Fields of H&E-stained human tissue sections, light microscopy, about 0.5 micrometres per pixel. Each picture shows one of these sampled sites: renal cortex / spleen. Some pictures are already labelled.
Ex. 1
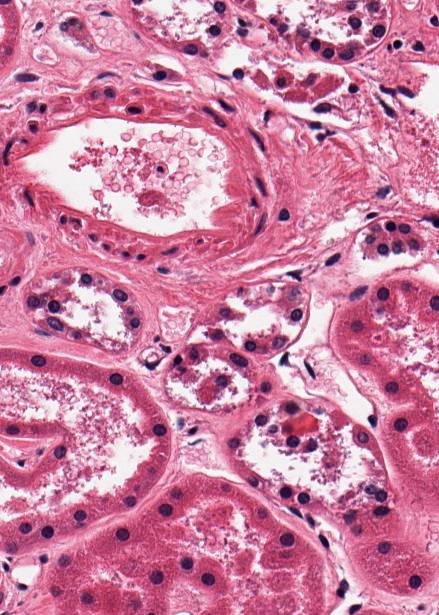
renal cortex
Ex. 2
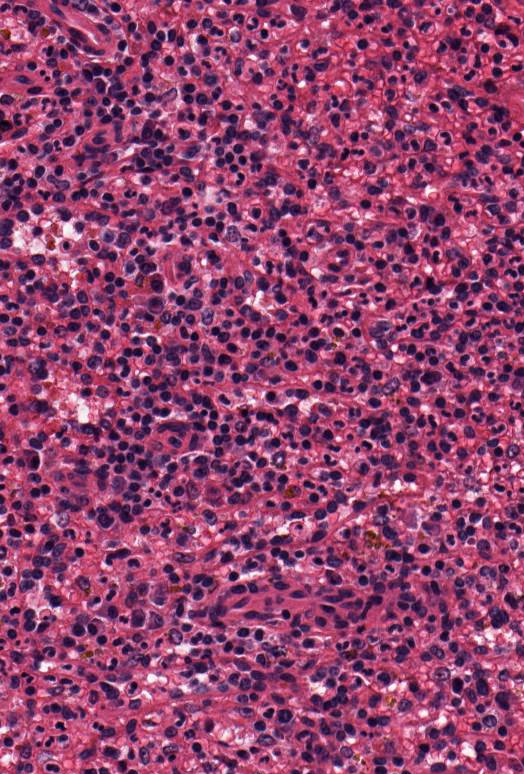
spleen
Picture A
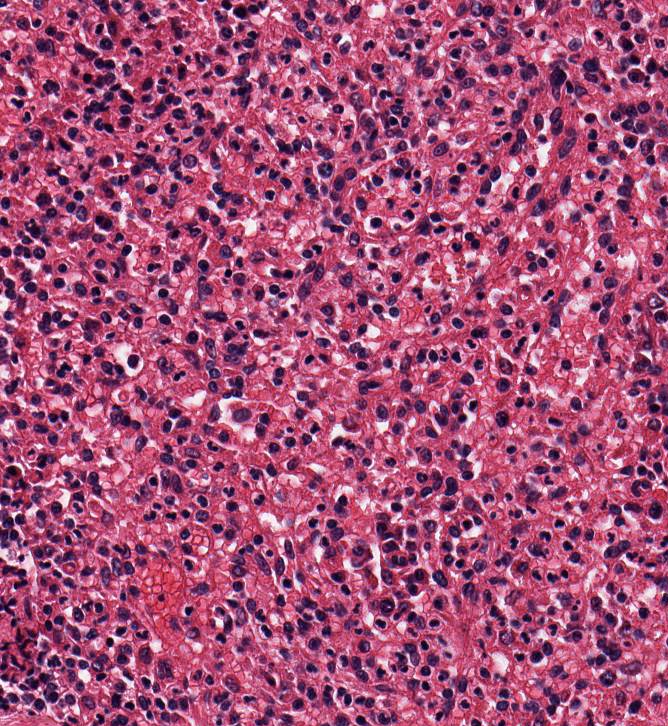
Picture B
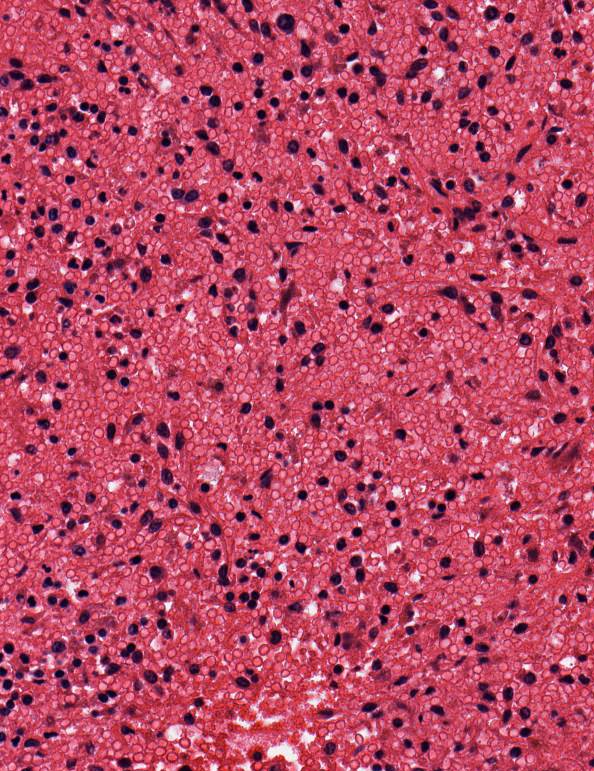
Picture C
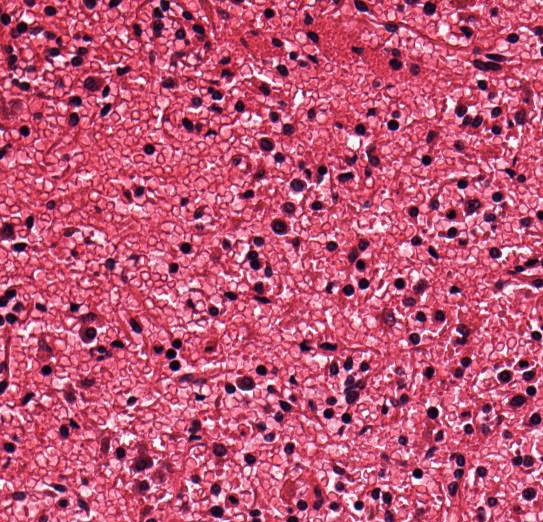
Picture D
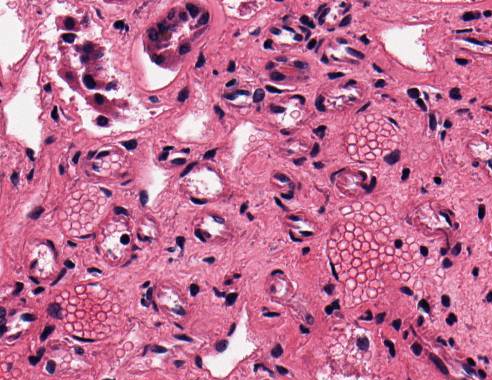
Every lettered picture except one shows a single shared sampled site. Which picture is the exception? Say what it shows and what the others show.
D (renal cortex) is the exception; every other picture is spleen.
